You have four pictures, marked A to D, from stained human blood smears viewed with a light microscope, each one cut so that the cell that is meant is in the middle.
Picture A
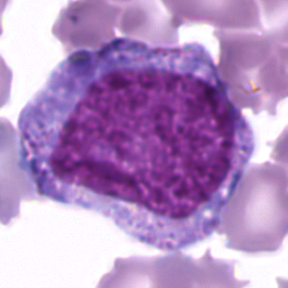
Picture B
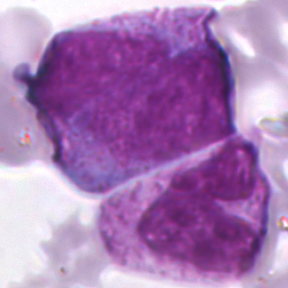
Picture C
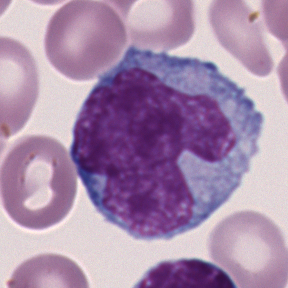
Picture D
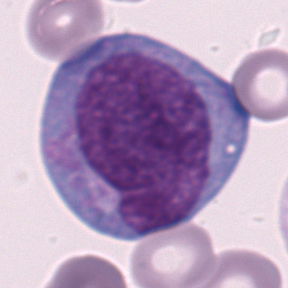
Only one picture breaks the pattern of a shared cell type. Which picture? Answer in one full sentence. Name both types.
Unlike the rest, which show promyelocytes, picture C shows a monocyte.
